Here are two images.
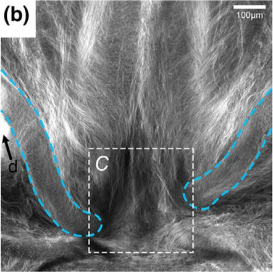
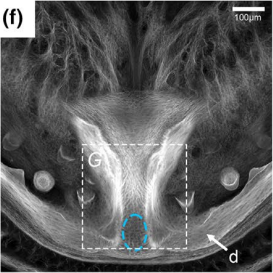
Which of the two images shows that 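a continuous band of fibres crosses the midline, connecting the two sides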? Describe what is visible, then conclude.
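First image: fibres splay upward on each side, with a darker, less fibrous zone between the two outlined tips. Second image: a bright, dense V-shaped band of fibres converges and runs through the midline.
Conclusion: the second image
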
